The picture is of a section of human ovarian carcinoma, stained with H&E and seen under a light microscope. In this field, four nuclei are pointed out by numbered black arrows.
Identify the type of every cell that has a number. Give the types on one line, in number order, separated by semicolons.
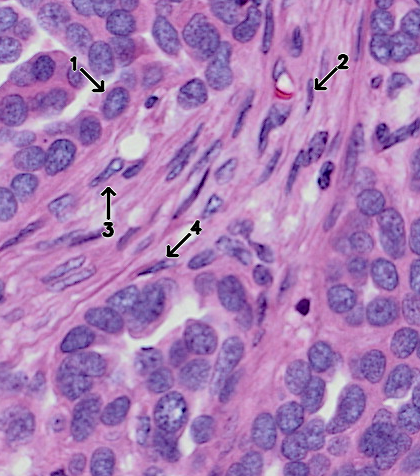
carcinoma cell; fibroblast; fibroblast; fibroblast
